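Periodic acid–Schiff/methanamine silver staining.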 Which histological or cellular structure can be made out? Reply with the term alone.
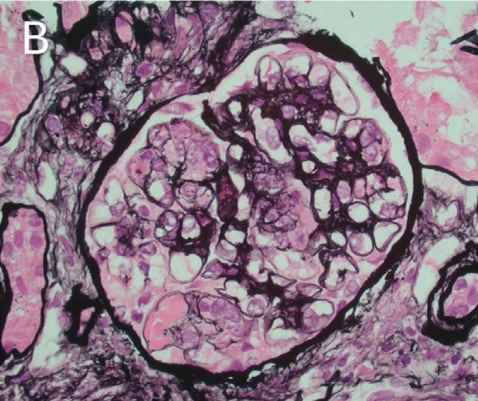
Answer: Pseudothrombus.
